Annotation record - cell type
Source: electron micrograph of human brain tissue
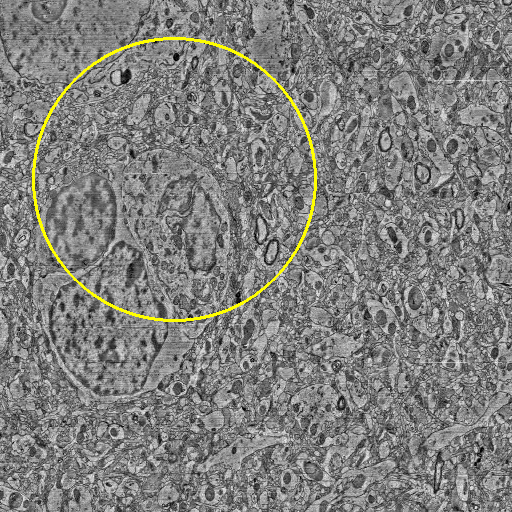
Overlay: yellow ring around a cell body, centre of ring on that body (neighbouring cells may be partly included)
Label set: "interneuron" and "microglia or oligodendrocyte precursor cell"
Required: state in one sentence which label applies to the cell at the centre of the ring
This cell should be labelled as an interneuron.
